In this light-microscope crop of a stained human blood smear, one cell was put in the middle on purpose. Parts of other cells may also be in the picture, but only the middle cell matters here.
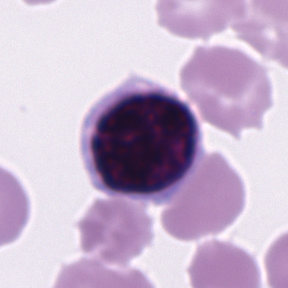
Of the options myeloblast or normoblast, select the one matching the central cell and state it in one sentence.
The centered cell in this crop is a normoblast.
